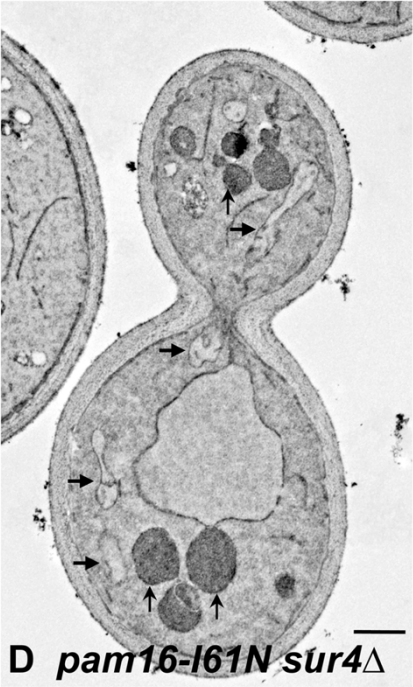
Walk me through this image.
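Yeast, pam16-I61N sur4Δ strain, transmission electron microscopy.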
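Budding yeast cell with a thick pale cell wall and a narrow bud neck. Membrane-bound mitochondrial profiles lie near the bud neck and along the cell periphery, and a large pale vacuole fills the middle of the mother cell.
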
